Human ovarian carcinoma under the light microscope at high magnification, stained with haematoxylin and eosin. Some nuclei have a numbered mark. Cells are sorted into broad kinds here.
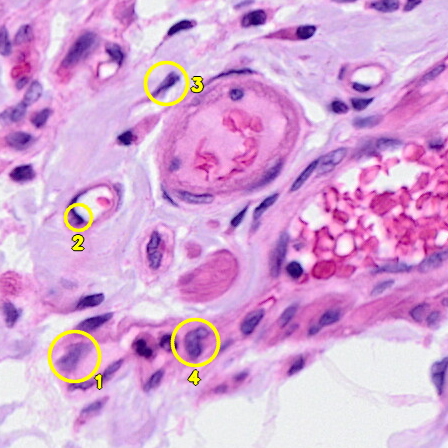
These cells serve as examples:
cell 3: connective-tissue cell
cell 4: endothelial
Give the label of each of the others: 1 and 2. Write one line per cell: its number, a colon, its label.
1: endothelial
2: endothelial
